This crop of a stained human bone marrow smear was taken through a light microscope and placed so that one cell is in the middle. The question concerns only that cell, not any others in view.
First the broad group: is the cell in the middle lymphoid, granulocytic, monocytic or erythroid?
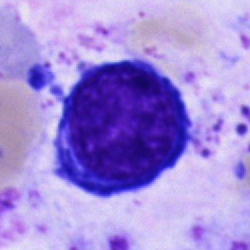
erythroid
